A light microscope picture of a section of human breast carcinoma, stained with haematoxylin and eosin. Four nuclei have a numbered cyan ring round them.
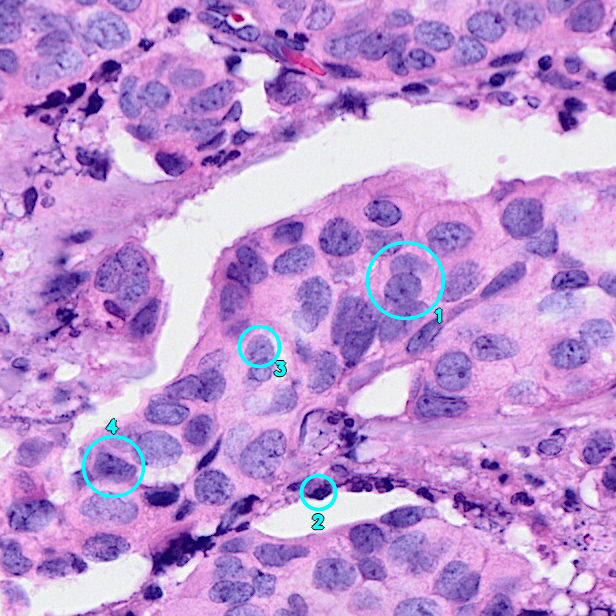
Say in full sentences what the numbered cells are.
Cells 1, 3 and 4 are carcinoma cells. Cell 2 is a lymphocyte.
